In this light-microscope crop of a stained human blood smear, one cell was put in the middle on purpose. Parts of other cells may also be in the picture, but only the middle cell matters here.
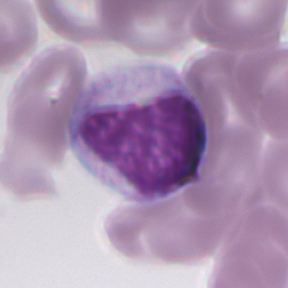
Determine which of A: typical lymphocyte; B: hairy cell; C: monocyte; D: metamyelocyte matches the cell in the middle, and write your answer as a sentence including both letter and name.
The middle of the crop contains a metamyelocyte, so option D is right.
